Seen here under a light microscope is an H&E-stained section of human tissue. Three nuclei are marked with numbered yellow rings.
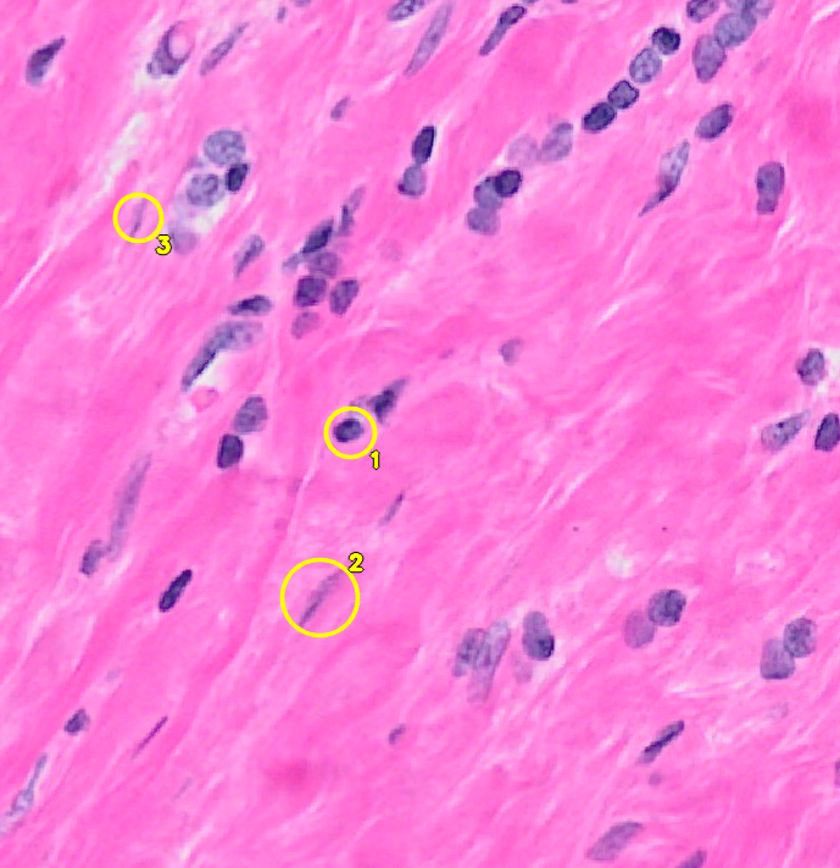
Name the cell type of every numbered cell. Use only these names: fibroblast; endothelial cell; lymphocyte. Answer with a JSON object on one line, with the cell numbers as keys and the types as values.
{"1": "lymphocyte", "2": "fibroblast", "3": "fibroblast"}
